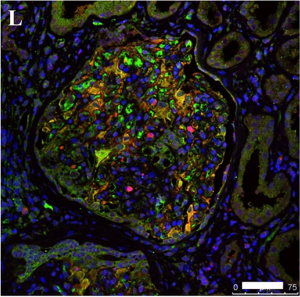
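A large glomerulus is shown with its tuft crowded with blue nuclei and surrounded by tubules. The red and green staining within the tuft is patchy and granular rather than tracing fine, continuous capillary loops, with scattered bright yellow-orange and green spots.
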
